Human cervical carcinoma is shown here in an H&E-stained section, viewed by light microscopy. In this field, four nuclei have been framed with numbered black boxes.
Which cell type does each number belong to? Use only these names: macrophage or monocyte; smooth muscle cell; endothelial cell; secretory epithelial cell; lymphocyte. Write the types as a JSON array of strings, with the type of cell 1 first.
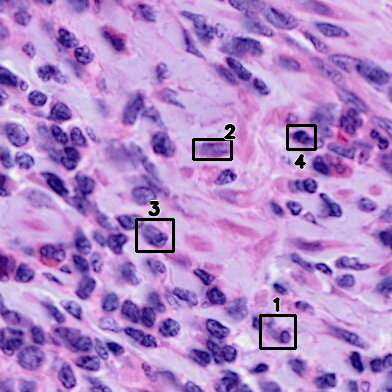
["macrophage or monocyte", "smooth muscle cell", "lymphocyte", "lymphocyte"]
